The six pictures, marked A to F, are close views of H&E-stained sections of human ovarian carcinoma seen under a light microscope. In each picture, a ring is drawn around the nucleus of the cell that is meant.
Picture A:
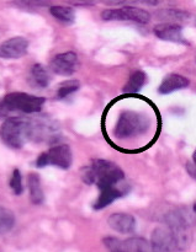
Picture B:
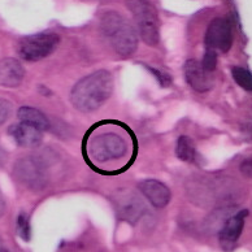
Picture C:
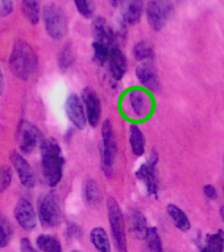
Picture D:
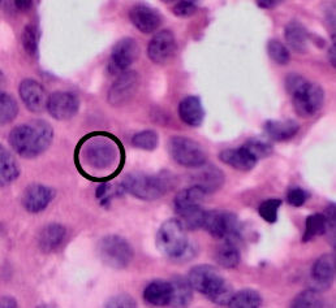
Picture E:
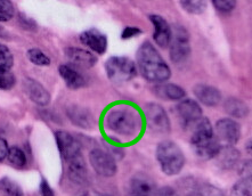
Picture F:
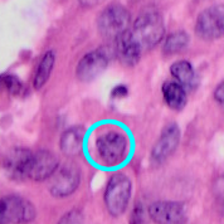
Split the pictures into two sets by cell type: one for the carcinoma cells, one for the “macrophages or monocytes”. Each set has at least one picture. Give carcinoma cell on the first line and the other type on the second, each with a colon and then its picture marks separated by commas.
carcinoma cell: A, B, D
macrophage or monocyte: C, E, F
